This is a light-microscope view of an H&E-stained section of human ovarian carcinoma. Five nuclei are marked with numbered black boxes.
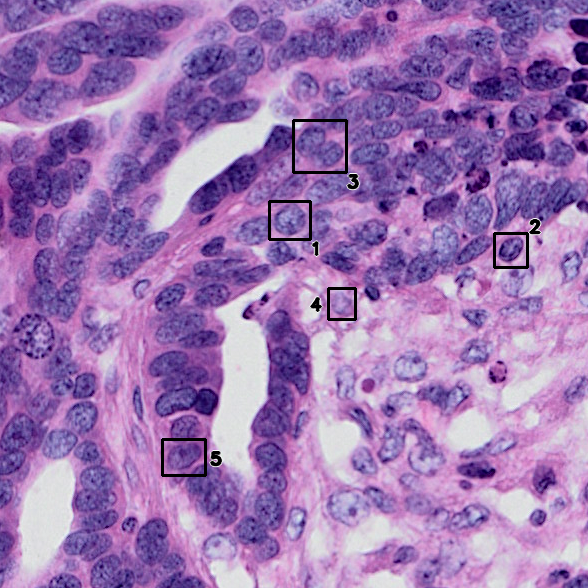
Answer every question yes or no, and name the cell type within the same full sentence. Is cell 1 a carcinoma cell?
Yes, in this tissue section, number 1 is a carcinoma cell.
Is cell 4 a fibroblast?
Yes, for number 4, the cell is a fibroblast.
